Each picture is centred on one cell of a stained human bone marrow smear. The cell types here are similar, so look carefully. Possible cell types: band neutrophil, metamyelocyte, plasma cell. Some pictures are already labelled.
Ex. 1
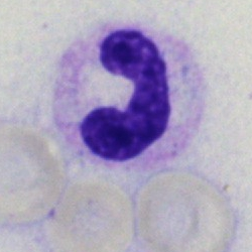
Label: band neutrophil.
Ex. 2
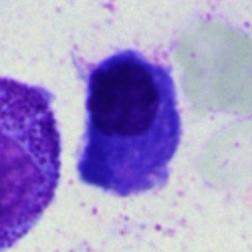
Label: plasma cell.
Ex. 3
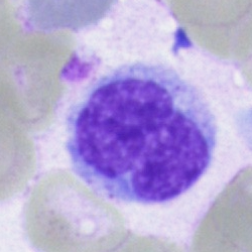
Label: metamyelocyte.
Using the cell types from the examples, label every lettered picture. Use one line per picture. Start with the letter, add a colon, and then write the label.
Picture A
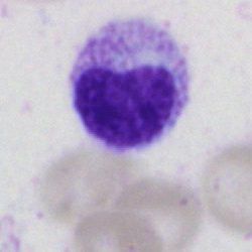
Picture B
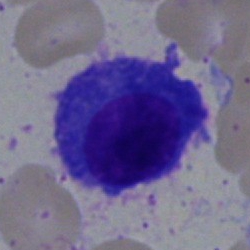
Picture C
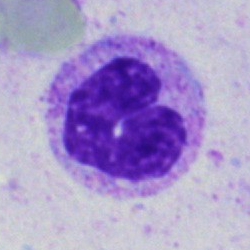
A: metamyelocyte.
B: plasma cell.
C: band neutrophil.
